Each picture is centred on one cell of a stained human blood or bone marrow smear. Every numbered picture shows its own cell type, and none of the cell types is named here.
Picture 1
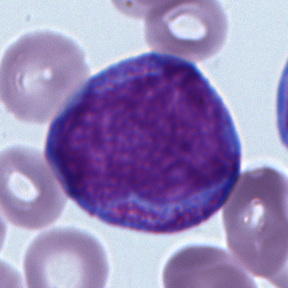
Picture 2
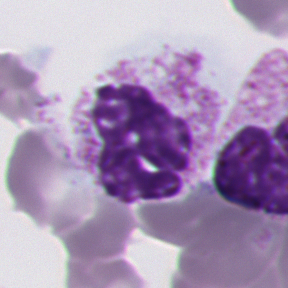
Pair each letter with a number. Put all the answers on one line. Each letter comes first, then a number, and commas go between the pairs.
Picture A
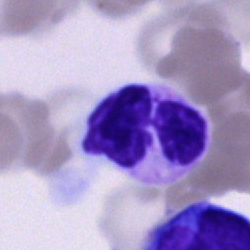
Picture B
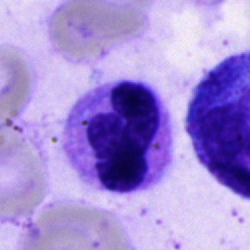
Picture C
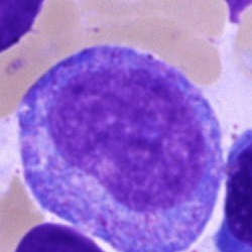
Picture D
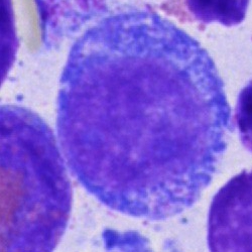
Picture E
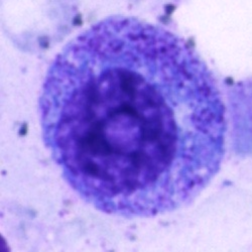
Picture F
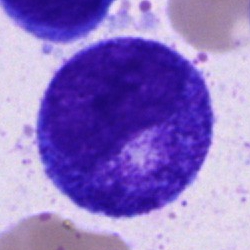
A 2, B 2, C 1, D 1, E 1, F 1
